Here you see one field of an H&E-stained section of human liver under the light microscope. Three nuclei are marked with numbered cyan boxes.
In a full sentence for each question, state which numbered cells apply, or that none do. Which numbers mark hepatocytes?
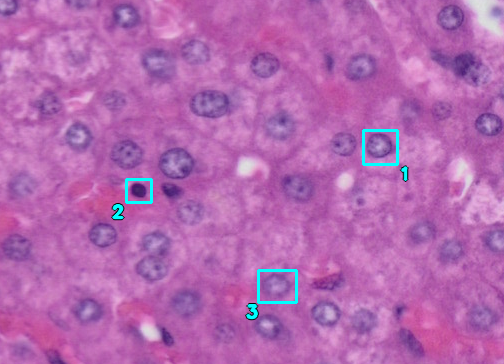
The cells shown with numbers 1 and 3 are hepatocytes.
